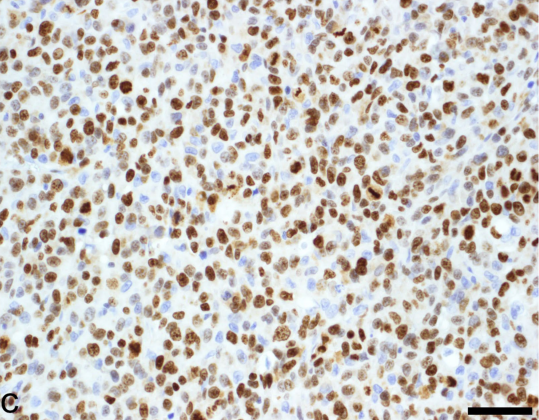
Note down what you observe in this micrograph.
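This is a dense sheet of tumor cells packed closely together, with no clear normal tissue architecture left. The cells are round to oval, with large nuclei and little cytoplasm between them. The brown nuclei vary in size and shape and are scattered evenly across the field.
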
